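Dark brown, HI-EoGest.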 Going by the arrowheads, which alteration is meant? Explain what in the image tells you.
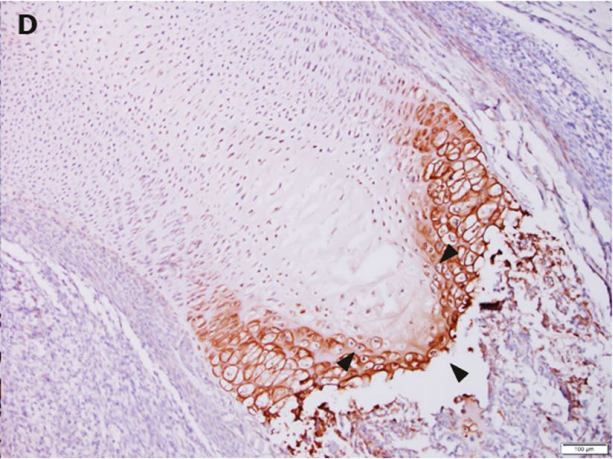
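The brown stain forms a curved band whose arms reach upward on both sides. The centre of the band is pale and unstained. The arrowheads lie along the brown band.
“V”-shaped staining pattern.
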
